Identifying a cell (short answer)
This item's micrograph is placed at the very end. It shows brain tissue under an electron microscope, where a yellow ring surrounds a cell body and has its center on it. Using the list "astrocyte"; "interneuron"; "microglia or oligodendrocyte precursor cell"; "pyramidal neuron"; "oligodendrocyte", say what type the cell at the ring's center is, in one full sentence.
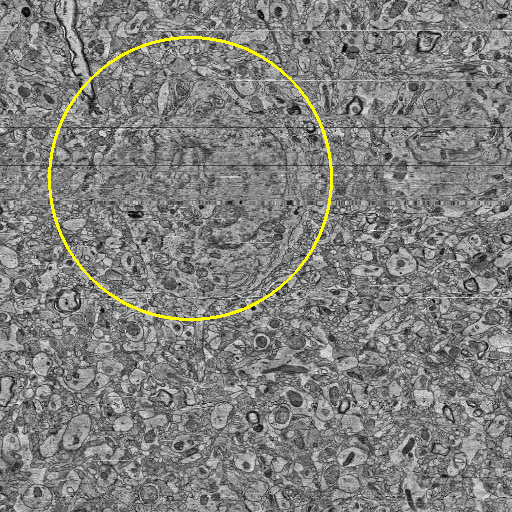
This picture shows an interneuron at the center of the yellow ring drawn on it.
